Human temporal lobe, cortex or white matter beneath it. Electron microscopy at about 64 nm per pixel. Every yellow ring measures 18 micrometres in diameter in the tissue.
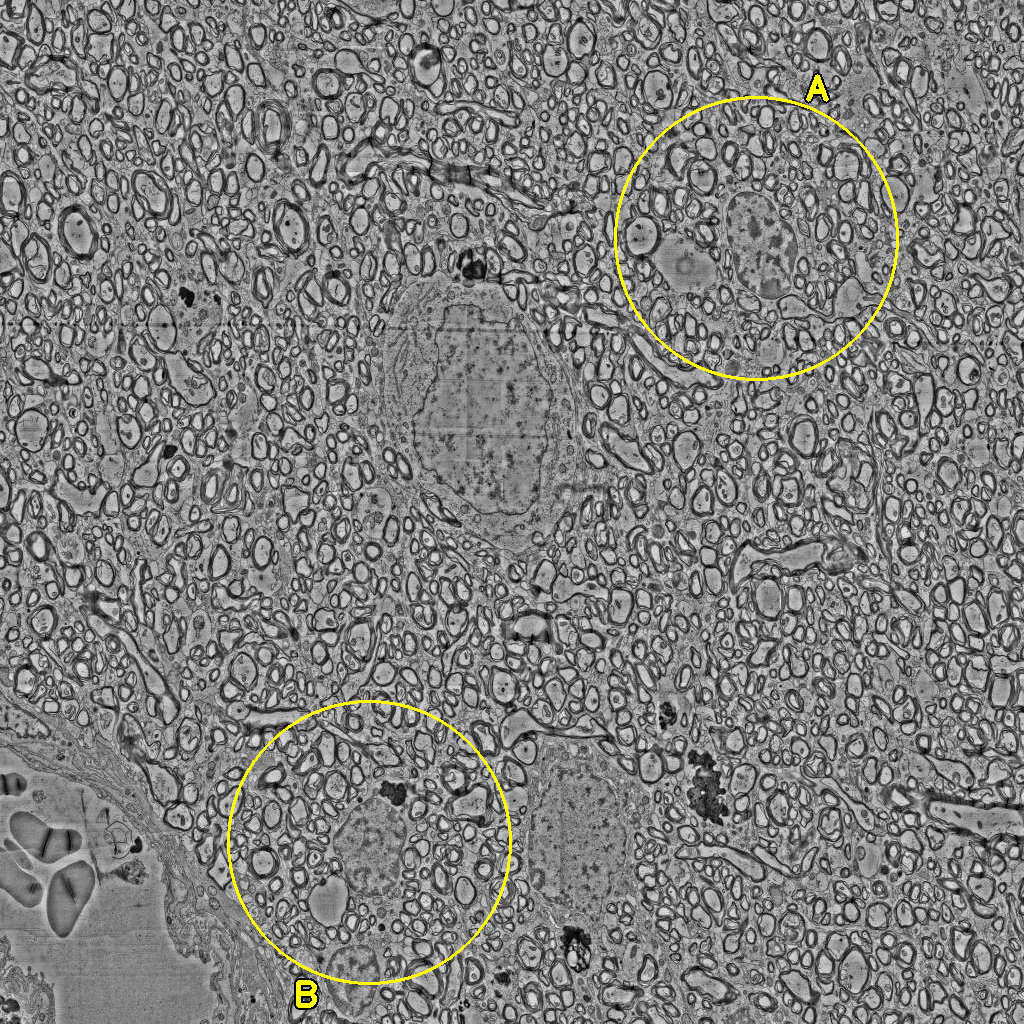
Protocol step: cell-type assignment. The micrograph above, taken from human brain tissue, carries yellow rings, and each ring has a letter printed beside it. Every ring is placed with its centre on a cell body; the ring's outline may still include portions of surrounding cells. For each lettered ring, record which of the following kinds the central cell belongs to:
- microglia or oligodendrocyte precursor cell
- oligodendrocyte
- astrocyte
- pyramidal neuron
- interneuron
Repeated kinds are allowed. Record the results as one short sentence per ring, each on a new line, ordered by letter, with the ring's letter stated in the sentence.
In ring A, the central cell is a microglial cell or oligodendrocyte precursor cell.
In ring B, the central cell is an oligodendrocyte.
